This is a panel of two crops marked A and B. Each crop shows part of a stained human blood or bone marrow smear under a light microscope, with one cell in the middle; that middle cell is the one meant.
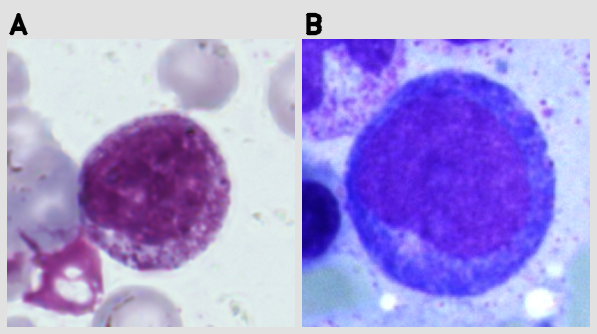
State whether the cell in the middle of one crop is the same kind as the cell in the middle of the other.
no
